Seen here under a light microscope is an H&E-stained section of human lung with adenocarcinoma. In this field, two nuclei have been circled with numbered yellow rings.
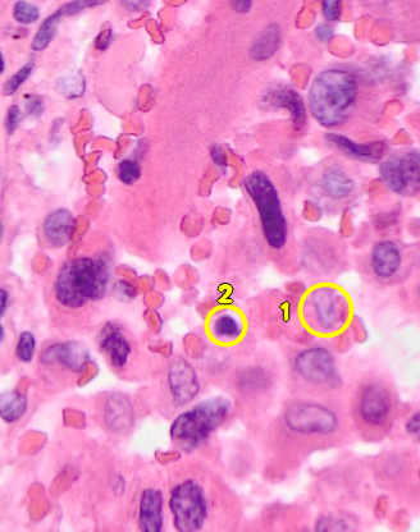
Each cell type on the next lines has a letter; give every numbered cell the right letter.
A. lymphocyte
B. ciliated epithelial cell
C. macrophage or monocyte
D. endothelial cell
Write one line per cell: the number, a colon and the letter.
1: C
2: A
